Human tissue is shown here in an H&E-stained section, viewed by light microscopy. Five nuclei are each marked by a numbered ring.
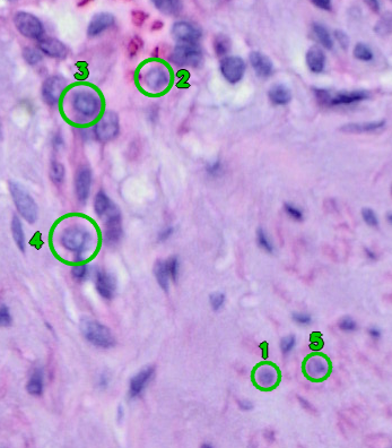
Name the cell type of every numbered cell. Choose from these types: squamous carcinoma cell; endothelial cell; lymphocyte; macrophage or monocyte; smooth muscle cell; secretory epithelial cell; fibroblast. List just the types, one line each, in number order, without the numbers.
smooth muscle cell
endothelial cell
endothelial cell
endothelial cell
smooth muscle cell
